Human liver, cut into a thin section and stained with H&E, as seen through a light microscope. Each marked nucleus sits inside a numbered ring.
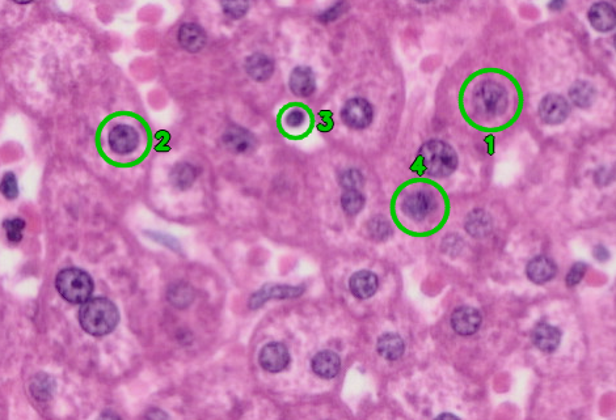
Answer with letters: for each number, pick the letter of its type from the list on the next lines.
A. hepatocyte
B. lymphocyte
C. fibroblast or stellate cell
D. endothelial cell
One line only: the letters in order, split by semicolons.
A; A; B; C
